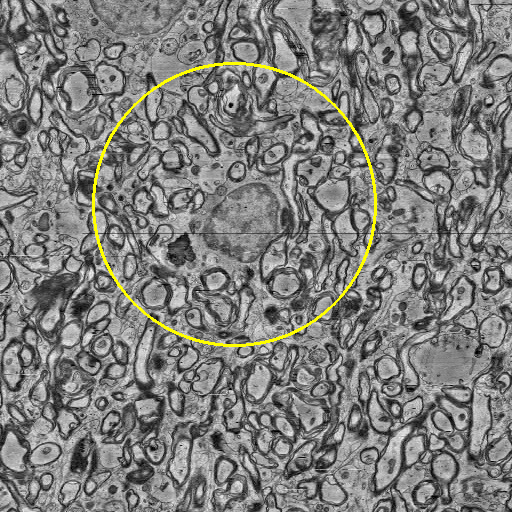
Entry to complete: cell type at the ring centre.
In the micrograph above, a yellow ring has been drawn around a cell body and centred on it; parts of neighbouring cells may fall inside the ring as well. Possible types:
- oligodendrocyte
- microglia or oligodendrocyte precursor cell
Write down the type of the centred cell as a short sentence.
The ring is centred on an oligodendrocyte.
